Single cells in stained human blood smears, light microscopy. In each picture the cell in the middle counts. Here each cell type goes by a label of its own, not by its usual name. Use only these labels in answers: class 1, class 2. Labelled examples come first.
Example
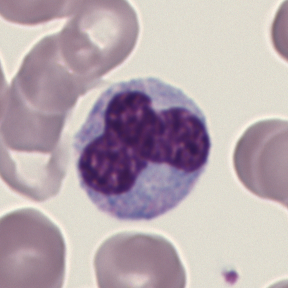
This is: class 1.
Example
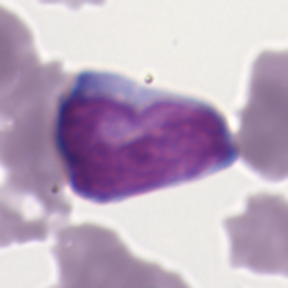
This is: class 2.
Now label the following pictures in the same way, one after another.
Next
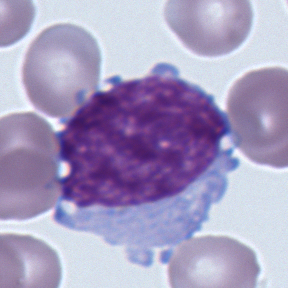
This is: class 2.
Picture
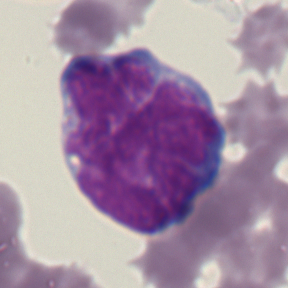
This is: class 2.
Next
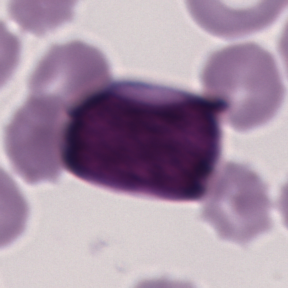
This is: class 2.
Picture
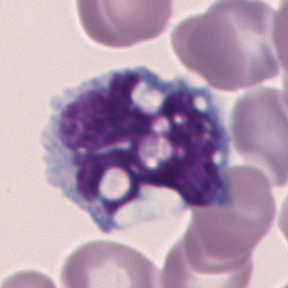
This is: class 1.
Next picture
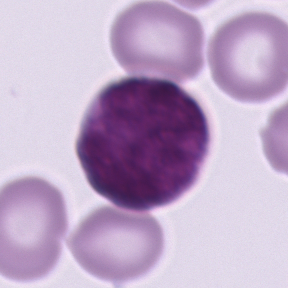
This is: class 2.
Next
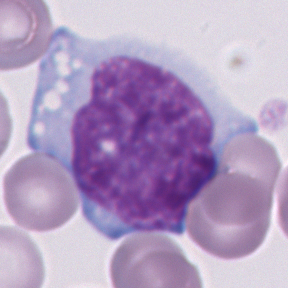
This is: class 2.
